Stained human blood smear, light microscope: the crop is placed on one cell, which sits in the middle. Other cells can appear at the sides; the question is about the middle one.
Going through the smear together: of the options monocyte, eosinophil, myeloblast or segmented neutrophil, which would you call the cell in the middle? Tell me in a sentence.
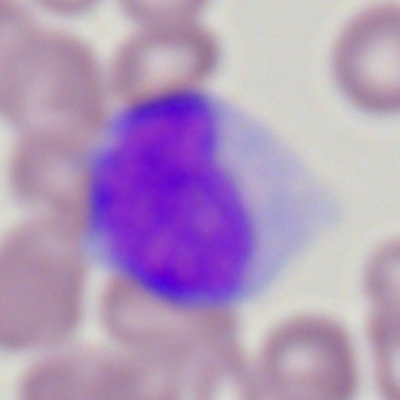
The cell at the centre of the field is a monocyte.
